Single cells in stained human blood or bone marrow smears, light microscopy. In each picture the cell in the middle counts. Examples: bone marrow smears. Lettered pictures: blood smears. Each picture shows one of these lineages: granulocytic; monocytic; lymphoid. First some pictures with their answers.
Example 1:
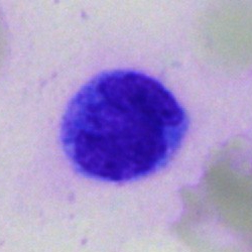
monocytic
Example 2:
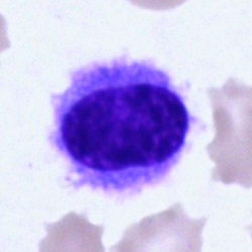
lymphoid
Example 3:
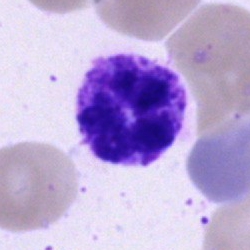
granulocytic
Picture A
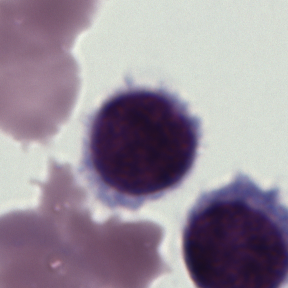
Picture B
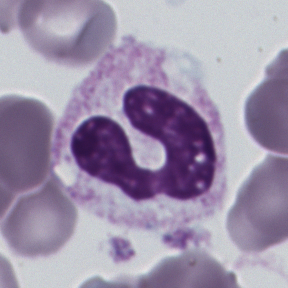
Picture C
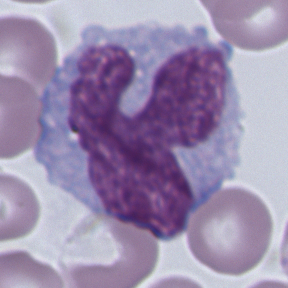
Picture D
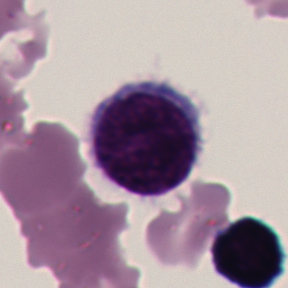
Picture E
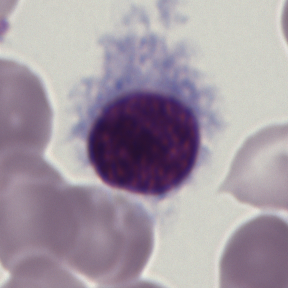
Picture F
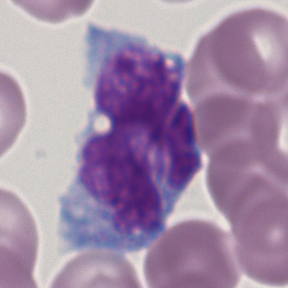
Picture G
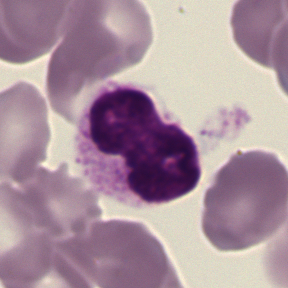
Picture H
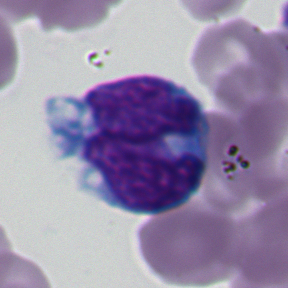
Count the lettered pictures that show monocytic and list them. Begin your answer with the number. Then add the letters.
Count: 3 (C, F, H)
